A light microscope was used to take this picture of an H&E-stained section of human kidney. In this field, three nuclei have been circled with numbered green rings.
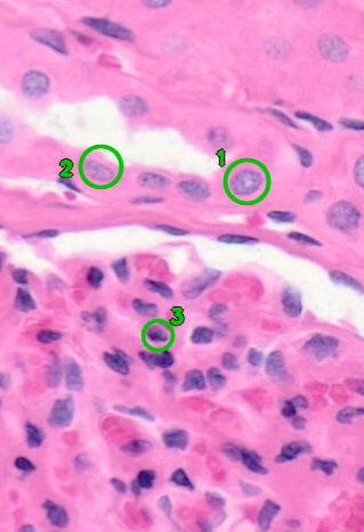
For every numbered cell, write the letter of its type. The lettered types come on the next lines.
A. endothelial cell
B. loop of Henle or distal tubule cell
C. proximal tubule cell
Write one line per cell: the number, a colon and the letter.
1: B
2: B
3: A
